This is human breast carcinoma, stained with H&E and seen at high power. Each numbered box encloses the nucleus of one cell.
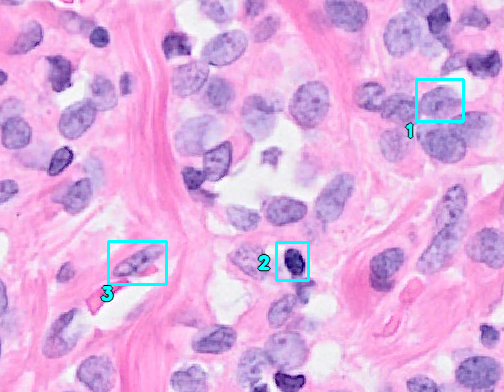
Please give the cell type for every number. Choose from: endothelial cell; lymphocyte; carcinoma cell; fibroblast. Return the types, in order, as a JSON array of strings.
["carcinoma cell", "lymphocyte", "endothelial cell"]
